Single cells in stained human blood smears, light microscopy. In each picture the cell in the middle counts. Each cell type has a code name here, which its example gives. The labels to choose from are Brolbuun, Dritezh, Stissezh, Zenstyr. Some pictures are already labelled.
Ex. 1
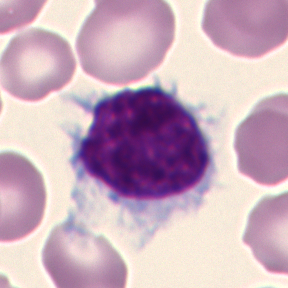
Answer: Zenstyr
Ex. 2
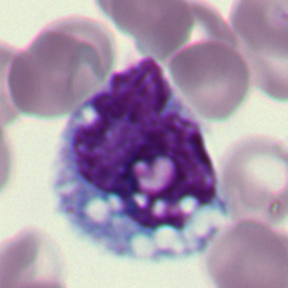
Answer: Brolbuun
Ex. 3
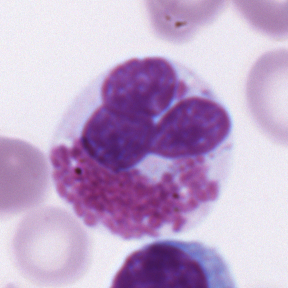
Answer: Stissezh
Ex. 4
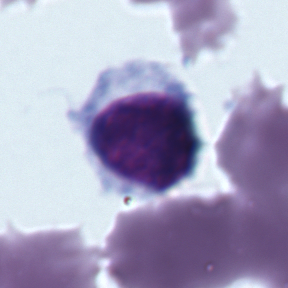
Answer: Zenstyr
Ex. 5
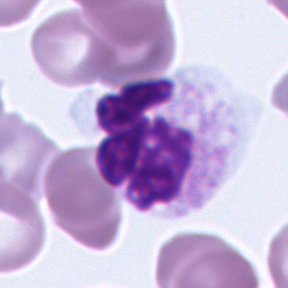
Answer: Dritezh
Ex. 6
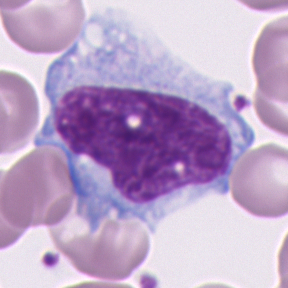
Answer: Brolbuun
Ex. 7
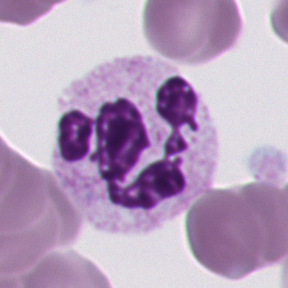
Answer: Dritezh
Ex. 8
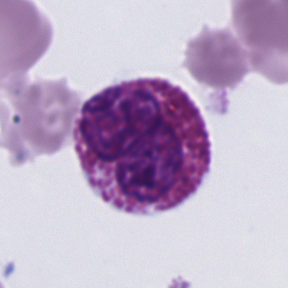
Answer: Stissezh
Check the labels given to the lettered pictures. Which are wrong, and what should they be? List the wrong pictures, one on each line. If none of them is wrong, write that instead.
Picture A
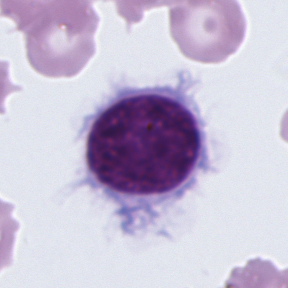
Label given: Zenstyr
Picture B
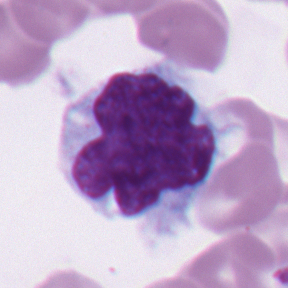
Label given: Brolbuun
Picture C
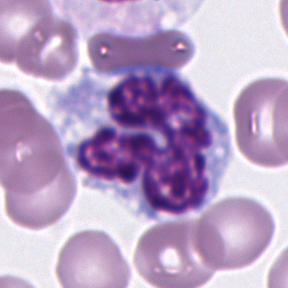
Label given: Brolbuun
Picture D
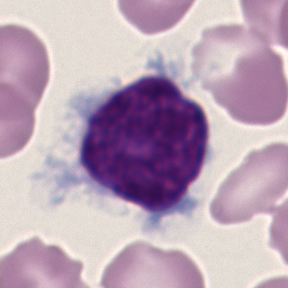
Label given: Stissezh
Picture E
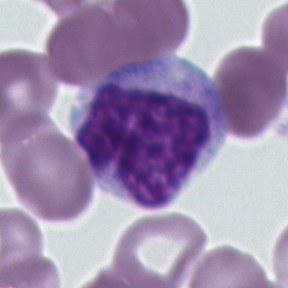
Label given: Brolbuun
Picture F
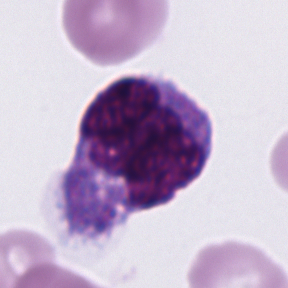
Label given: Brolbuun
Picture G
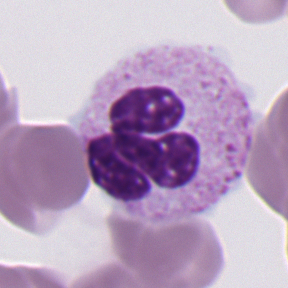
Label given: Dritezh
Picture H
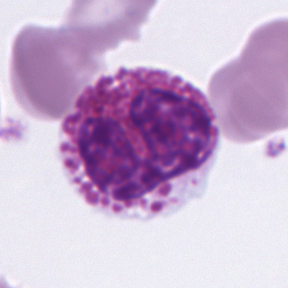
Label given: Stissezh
Wrong: D (Stissezh); correct: Zenstyr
